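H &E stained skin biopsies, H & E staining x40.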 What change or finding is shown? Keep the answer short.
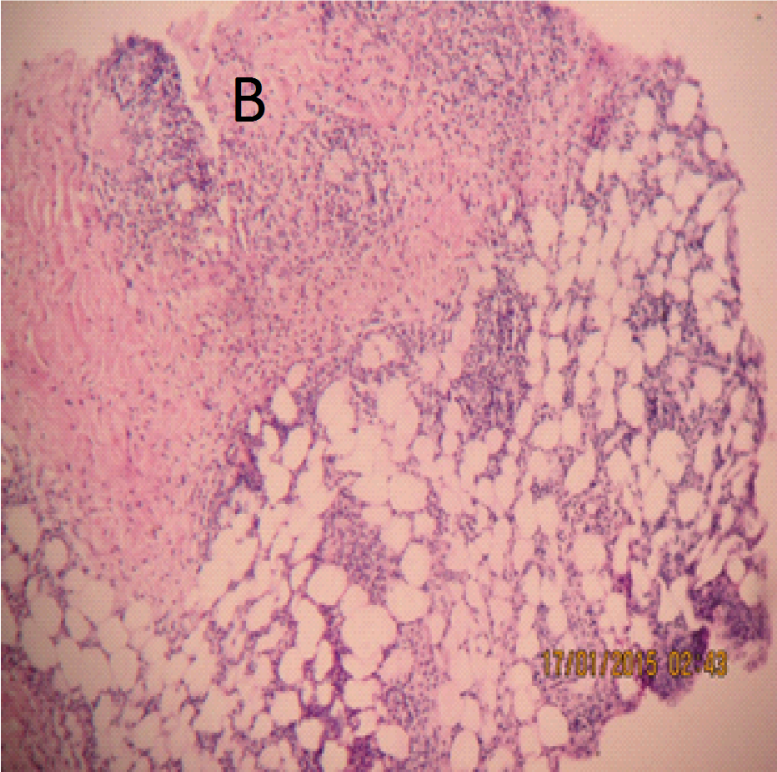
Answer: Lobar panniculitis.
